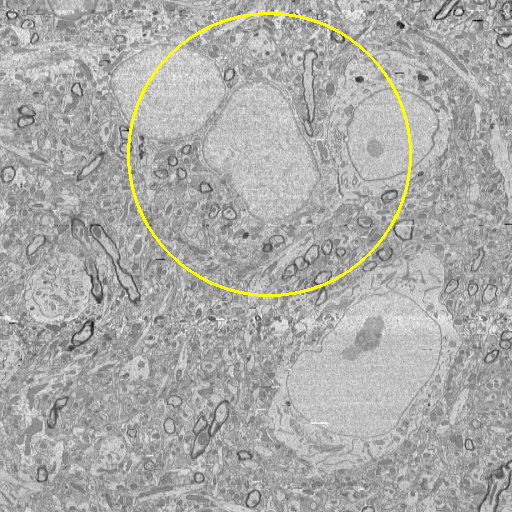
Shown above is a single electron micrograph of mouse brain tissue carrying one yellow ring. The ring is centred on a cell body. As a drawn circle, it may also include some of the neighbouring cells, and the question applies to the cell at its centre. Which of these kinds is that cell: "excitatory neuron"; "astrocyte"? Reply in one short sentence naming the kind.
The cell marked by the ring is an astrocyte.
